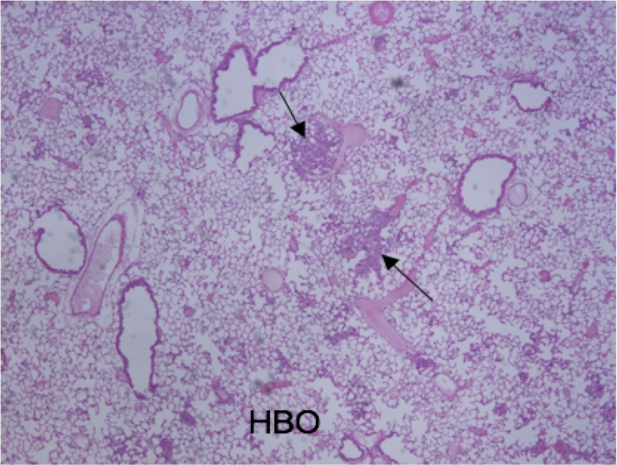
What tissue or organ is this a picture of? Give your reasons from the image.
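Lung. Fine lace-like network of thin-walled air spaces. Scattered larger airways lined by a purple epithelium and round pink vessels.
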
